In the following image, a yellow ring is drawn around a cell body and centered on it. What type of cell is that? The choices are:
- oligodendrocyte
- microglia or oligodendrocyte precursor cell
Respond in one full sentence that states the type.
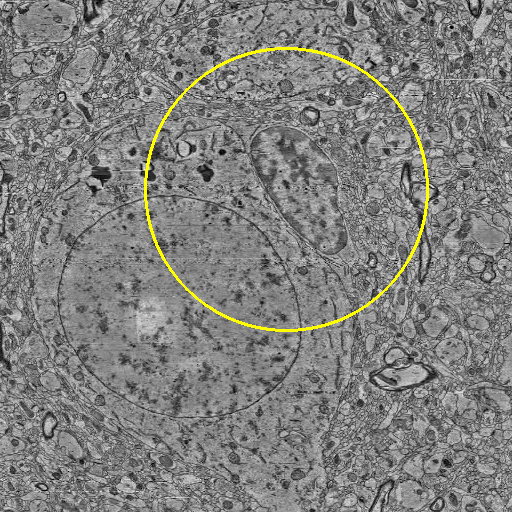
The cell at the center of the yellow ring in the image is a microglial cell or oligodendrocyte precursor cell.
